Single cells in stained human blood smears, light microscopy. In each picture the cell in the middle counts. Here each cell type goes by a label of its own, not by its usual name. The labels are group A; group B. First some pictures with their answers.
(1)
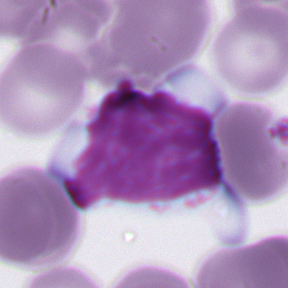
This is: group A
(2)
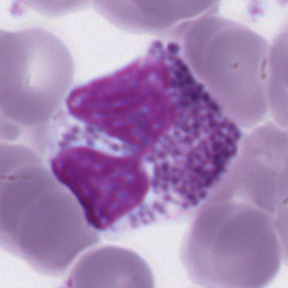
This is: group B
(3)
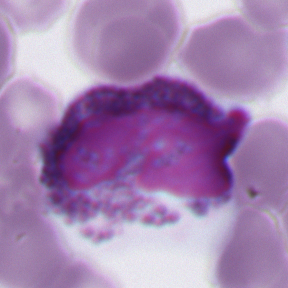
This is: group B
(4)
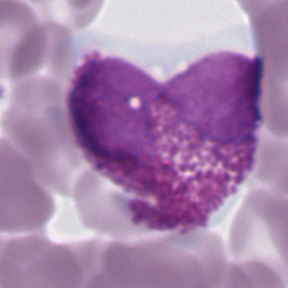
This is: group B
